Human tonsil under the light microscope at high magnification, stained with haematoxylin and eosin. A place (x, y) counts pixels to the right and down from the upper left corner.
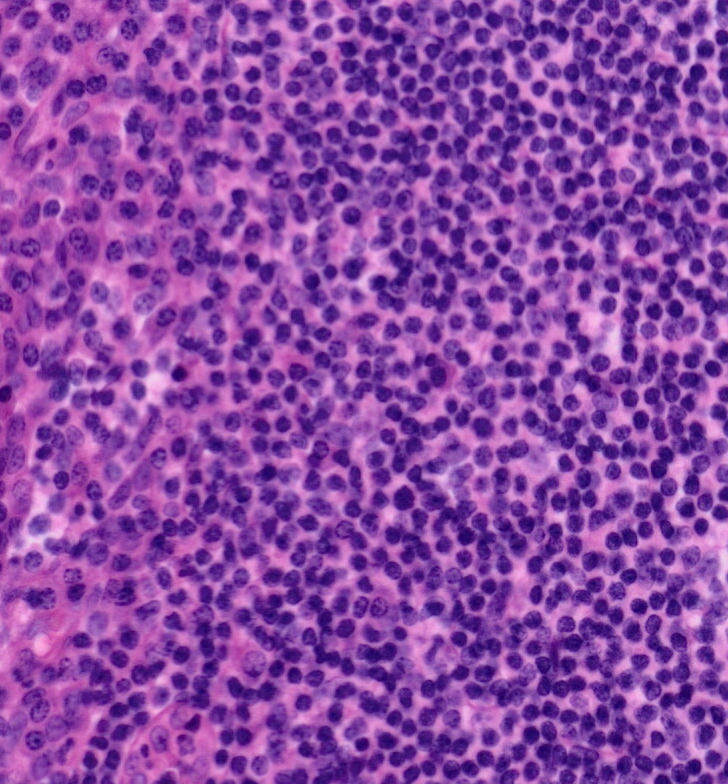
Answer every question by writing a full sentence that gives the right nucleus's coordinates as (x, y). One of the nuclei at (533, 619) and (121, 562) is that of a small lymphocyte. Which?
Of the two nuclei, it is the one at (533, 619) that lies within a small lymphocyte.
